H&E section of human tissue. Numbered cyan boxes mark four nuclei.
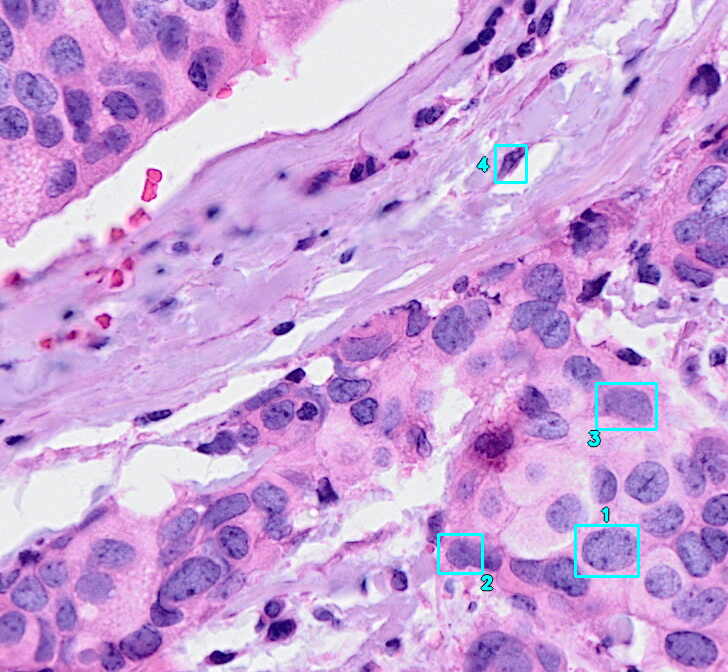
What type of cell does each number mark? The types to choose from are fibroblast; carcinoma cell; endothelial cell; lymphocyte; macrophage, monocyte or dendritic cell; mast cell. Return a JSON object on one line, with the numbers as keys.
{"1": "carcinoma cell", "2": "carcinoma cell", "3": "carcinoma cell", "4": "fibroblast"}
